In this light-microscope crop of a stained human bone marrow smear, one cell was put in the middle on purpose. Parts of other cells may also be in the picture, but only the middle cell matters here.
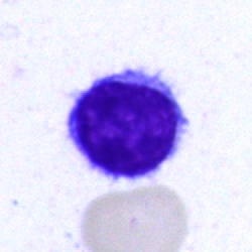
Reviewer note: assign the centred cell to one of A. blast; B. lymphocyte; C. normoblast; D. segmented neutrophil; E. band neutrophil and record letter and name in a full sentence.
The middle of the crop contains a lymphocyte, so option B is right.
